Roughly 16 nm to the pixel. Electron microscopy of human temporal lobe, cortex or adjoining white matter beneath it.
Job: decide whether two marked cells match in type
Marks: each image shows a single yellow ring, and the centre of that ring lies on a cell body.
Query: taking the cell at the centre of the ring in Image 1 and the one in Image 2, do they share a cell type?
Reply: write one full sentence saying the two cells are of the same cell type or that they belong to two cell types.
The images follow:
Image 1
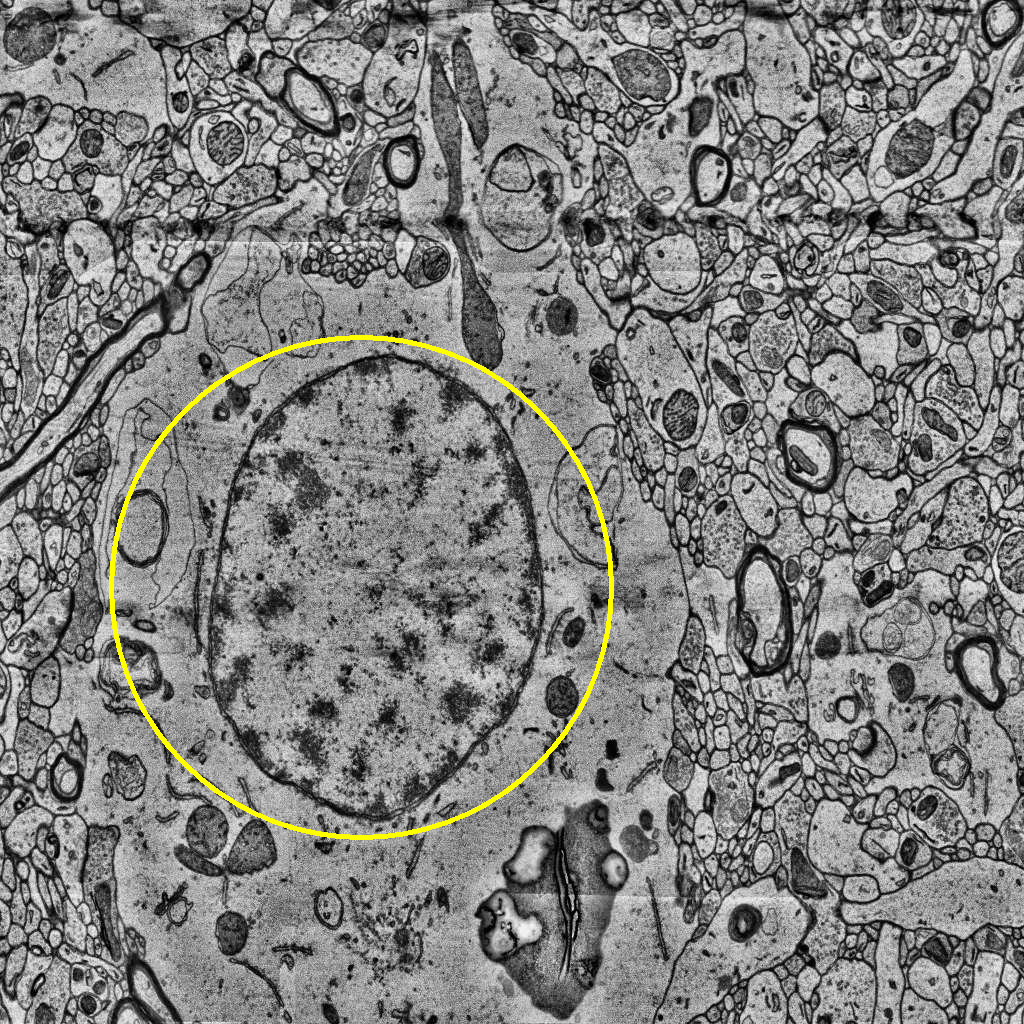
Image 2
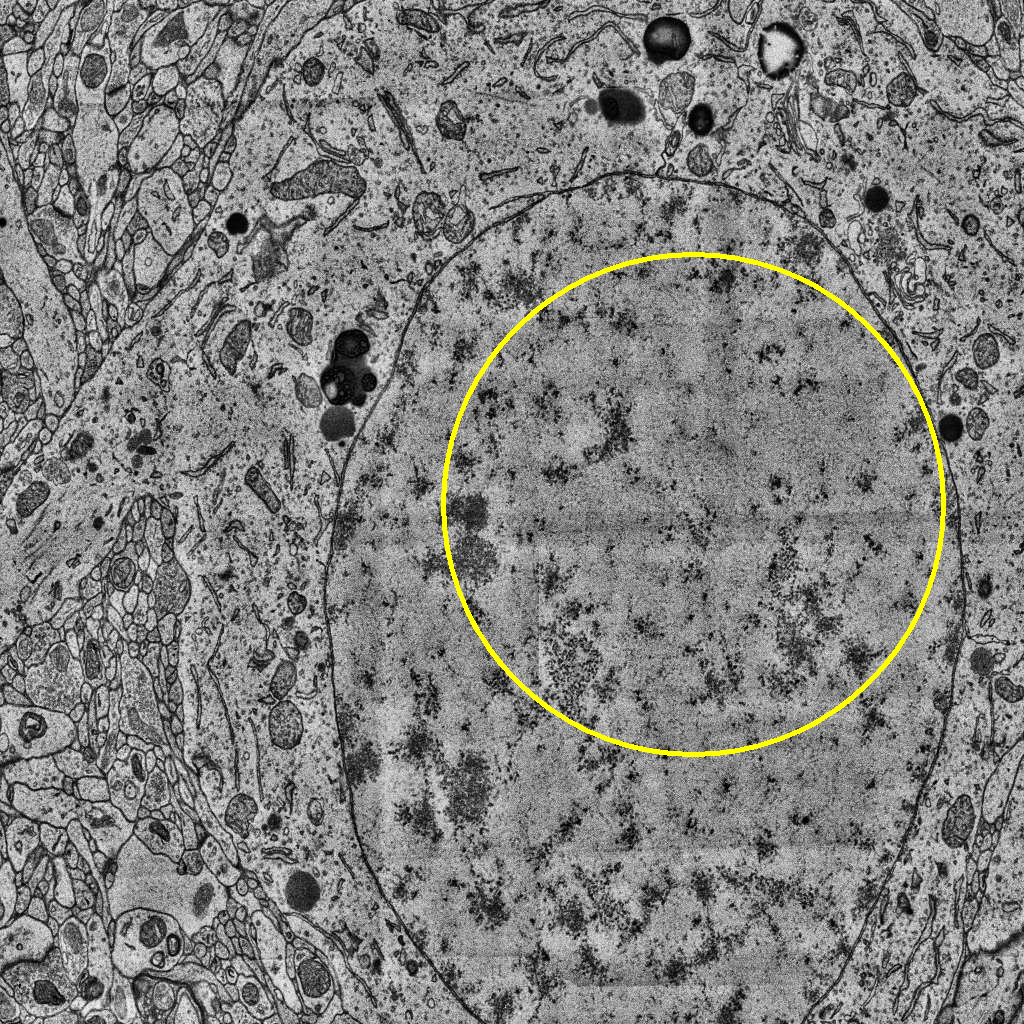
The cells at the ring centres in Image 1 and Image 2 belong to two cell types.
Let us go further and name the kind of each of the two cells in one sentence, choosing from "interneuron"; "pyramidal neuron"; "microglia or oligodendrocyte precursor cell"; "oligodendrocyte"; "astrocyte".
In the first picture we have an astrocyte, and in the second, a pyramidal neuron.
